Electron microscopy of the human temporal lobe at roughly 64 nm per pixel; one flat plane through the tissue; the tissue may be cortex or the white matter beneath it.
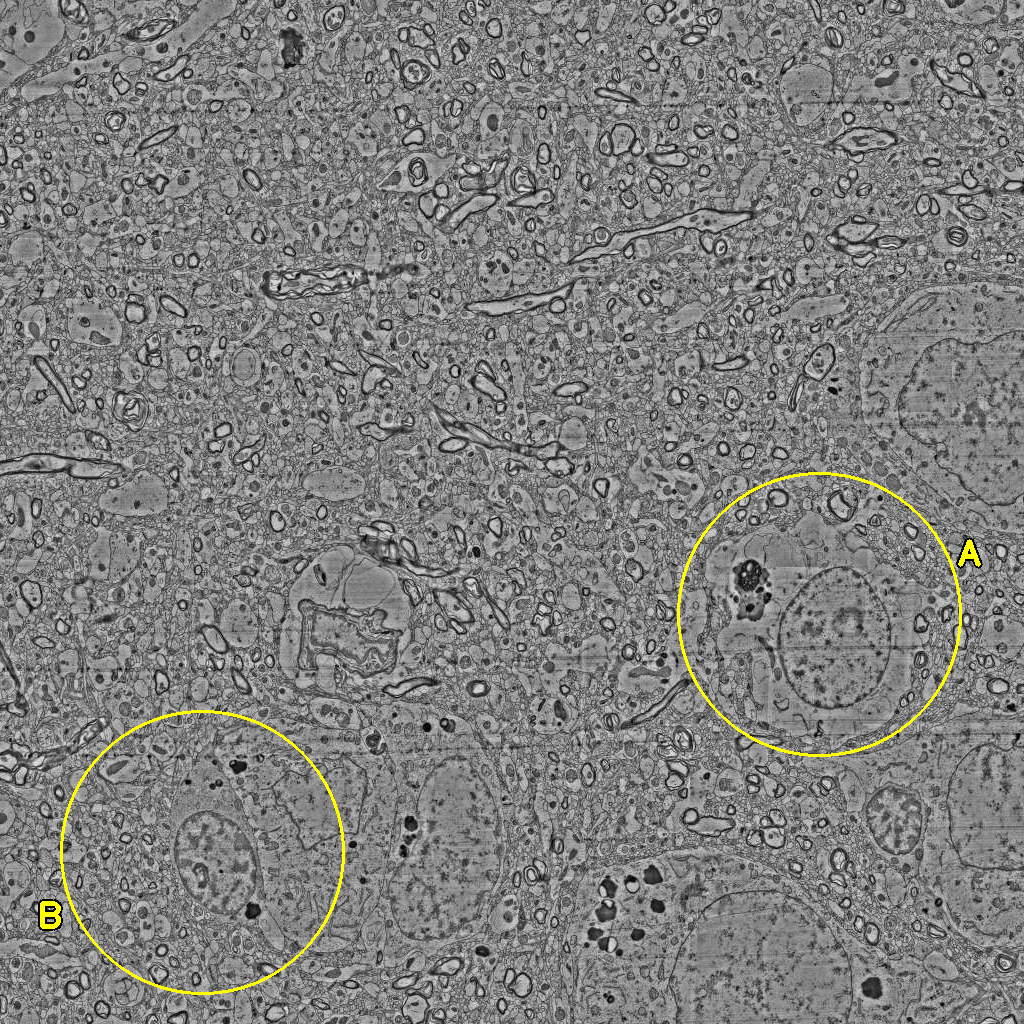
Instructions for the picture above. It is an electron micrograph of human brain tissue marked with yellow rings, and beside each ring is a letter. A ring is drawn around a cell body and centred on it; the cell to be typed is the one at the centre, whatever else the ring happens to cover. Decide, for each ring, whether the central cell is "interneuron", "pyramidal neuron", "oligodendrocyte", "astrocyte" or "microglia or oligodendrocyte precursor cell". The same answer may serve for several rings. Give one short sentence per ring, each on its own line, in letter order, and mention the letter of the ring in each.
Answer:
Ring A is drawn around an astrocyte.
Ring B is drawn around an oligodendrocyte.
